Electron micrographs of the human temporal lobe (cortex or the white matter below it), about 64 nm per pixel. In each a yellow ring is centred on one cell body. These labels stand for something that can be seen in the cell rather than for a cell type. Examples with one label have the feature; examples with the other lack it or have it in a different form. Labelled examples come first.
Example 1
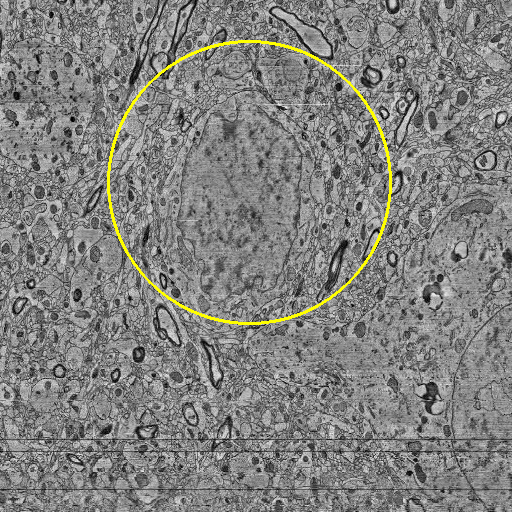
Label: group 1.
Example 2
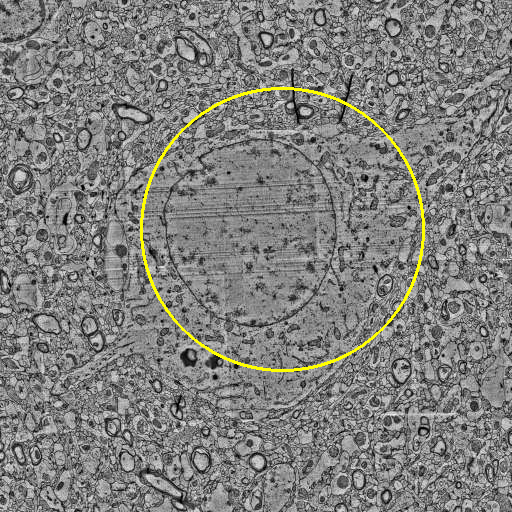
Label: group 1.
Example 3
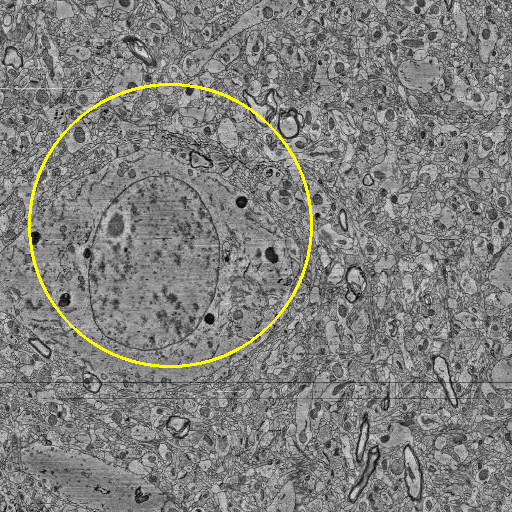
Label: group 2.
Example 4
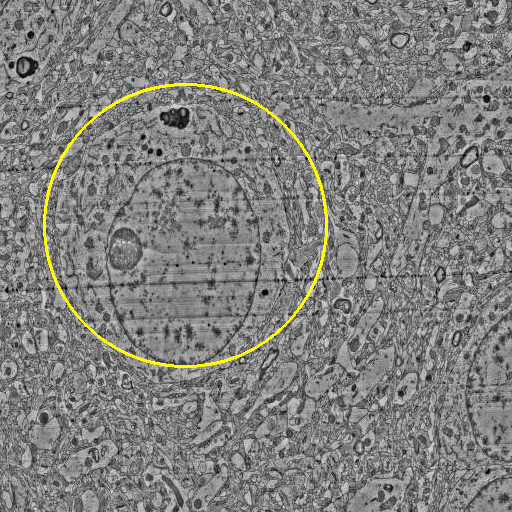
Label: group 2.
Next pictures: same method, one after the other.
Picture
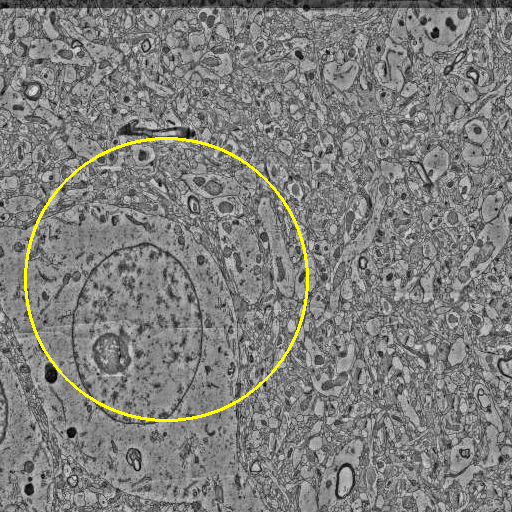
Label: group 2.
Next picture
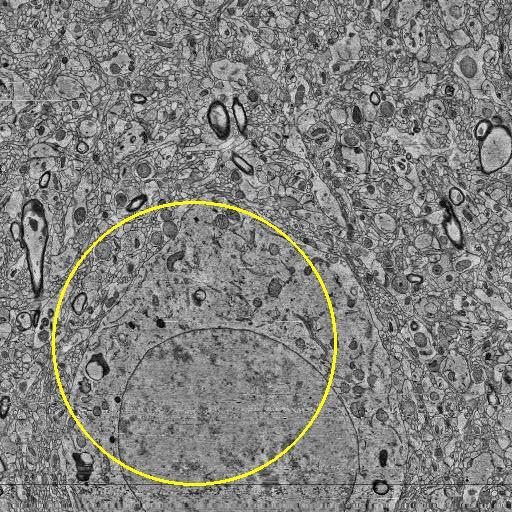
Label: group 1.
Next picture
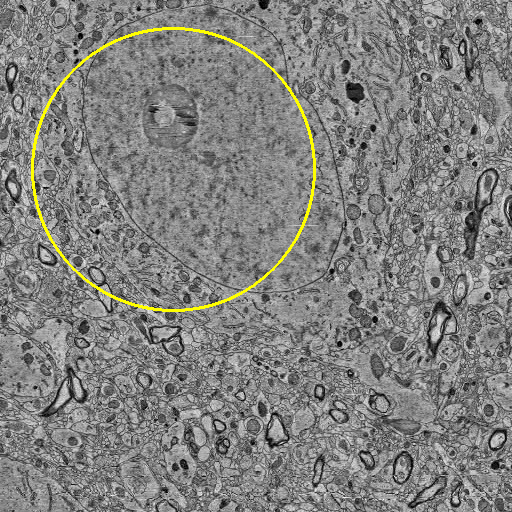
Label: group 2.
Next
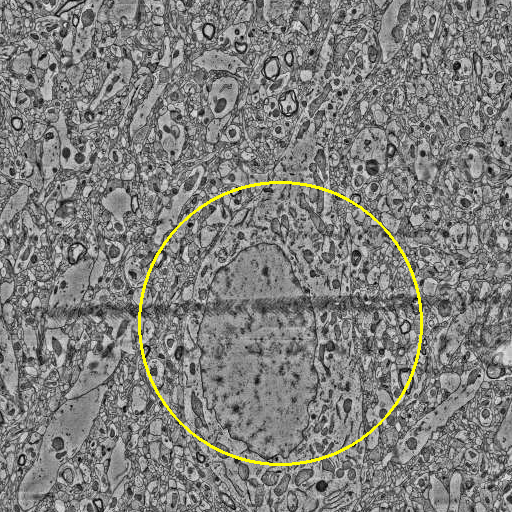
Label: group 1.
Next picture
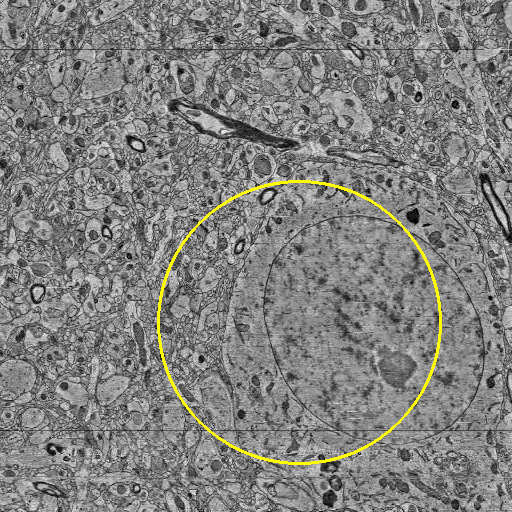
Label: group 2.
